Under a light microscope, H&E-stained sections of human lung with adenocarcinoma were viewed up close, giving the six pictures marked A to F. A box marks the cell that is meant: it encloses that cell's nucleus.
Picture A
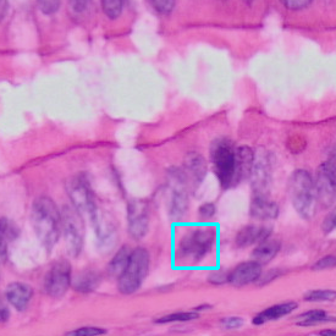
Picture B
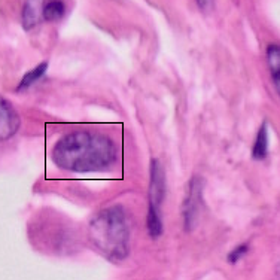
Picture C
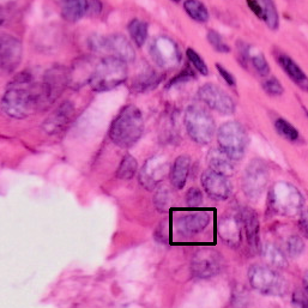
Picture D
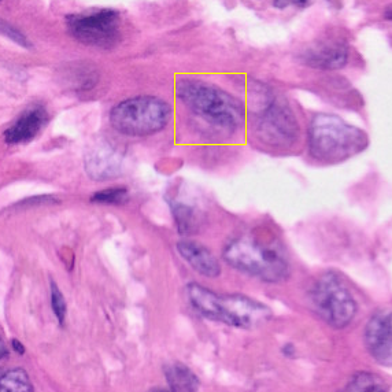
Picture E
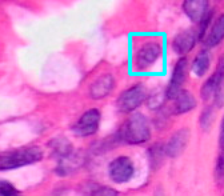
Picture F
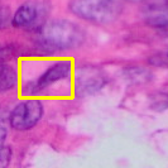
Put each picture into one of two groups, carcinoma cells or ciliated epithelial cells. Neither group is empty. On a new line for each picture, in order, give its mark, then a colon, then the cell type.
A: ciliated epithelial cell
B: carcinoma cell
C: ciliated epithelial cell
D: carcinoma cell
E: ciliated epithelial cell
F: ciliated epithelial cell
